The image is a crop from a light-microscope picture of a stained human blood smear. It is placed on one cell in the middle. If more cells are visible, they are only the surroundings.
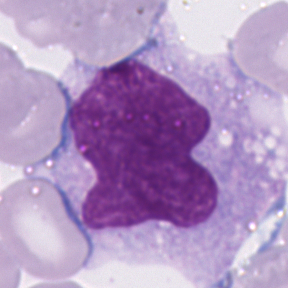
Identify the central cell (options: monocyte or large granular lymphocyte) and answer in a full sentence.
At the middle of the frame sits a monocyte.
